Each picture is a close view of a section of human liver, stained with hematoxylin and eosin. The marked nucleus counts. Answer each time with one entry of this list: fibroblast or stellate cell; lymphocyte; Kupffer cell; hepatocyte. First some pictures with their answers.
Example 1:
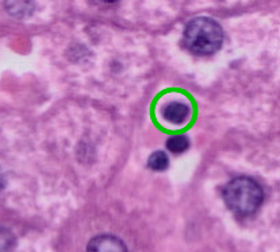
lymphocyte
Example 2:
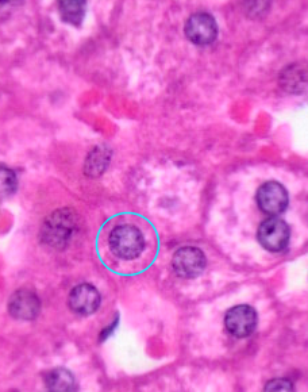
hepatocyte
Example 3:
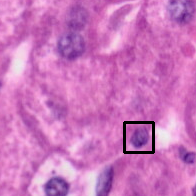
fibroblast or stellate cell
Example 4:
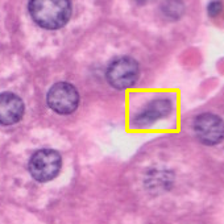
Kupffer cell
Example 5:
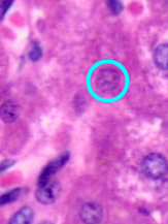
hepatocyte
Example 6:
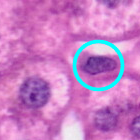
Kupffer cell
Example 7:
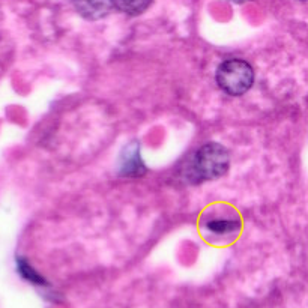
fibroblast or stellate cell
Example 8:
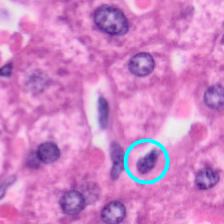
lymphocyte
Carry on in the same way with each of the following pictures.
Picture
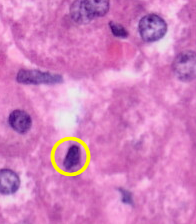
fibroblast or stellate cell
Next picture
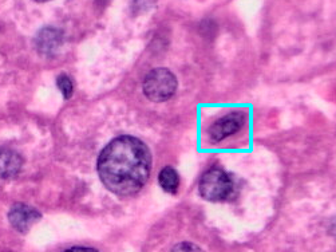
Kupffer cell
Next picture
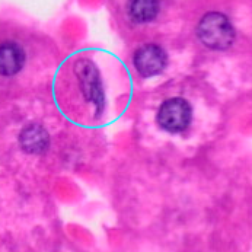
Kupffer cell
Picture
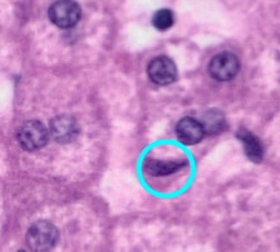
fibroblast or stellate cell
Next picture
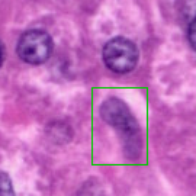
Kupffer cell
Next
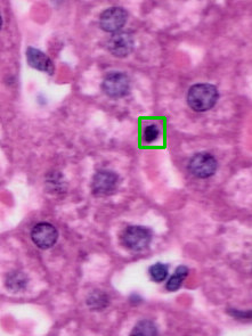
fibroblast or stellate cell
